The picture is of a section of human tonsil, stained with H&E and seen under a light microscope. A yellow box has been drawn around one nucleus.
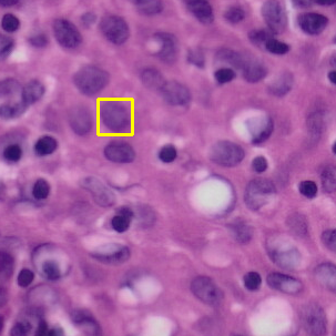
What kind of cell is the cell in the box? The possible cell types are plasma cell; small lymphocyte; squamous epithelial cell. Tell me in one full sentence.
Within this tissue, the cell in the box is a squamous epithelial cell.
